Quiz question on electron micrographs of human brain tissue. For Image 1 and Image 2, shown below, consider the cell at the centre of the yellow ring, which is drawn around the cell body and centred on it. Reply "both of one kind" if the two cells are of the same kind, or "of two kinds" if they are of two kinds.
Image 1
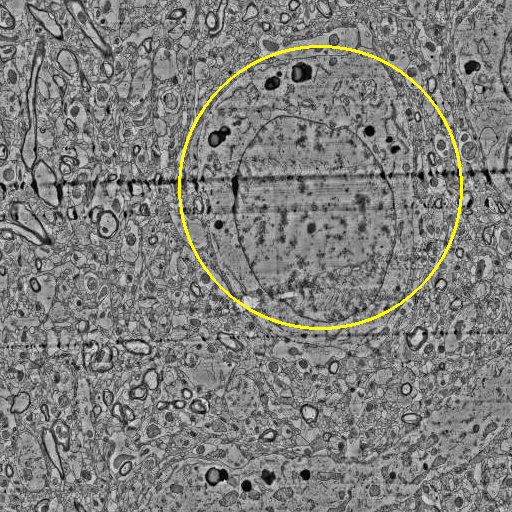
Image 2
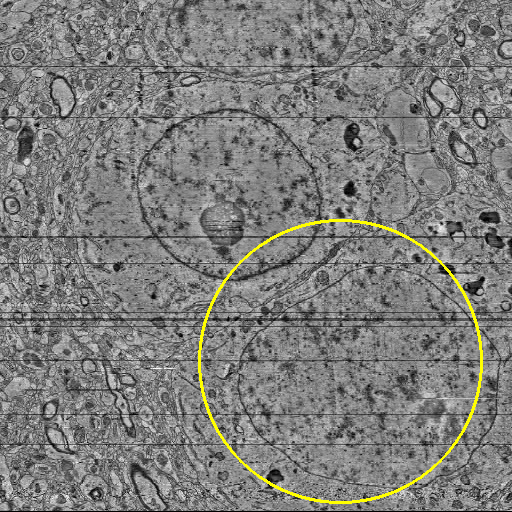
both of one kind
